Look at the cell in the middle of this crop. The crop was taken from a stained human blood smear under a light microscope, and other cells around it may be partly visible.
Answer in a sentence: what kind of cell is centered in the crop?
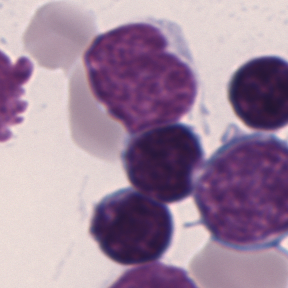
The cell shown in the center of this light-microscope crop is a blast.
